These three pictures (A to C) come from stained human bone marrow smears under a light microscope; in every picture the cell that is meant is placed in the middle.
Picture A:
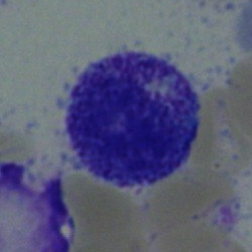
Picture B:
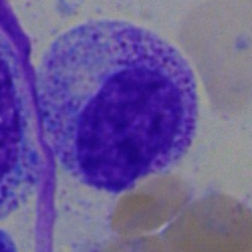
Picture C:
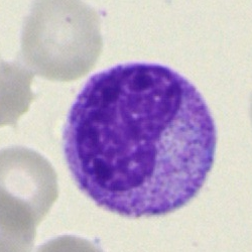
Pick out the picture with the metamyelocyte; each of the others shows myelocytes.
C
